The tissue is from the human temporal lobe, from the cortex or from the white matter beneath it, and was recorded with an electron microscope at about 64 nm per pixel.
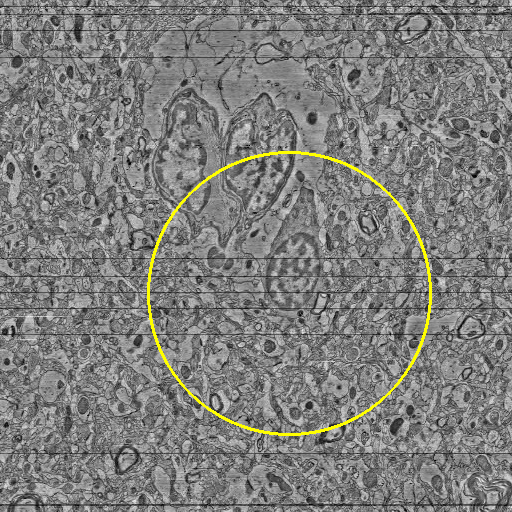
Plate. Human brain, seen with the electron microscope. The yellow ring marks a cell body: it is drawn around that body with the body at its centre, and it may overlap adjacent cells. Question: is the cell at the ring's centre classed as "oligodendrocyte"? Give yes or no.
yes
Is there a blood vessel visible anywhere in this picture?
Yes, a blood vessel can be seen.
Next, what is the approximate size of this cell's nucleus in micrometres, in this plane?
The nucleus is approximately 5 micrometres long but only about 3 wide, clearly longer than it is wide in this plane.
